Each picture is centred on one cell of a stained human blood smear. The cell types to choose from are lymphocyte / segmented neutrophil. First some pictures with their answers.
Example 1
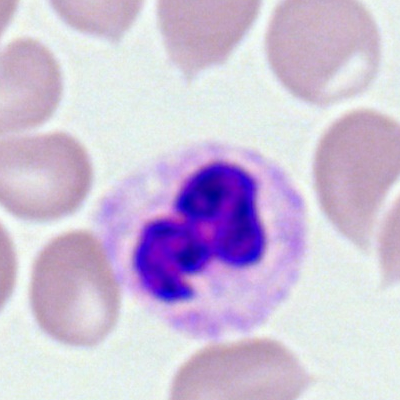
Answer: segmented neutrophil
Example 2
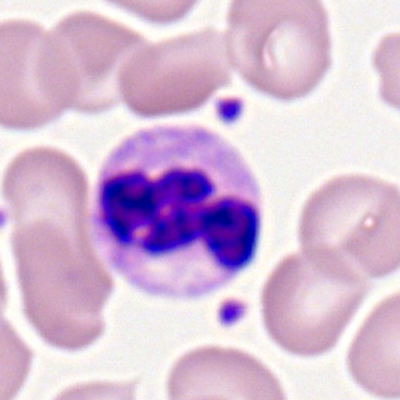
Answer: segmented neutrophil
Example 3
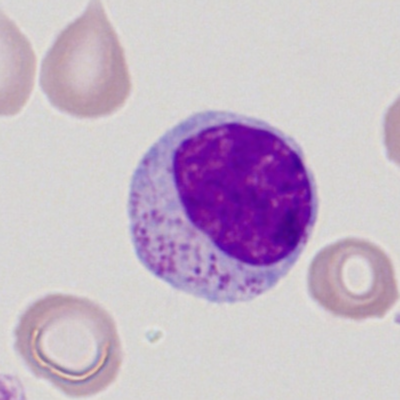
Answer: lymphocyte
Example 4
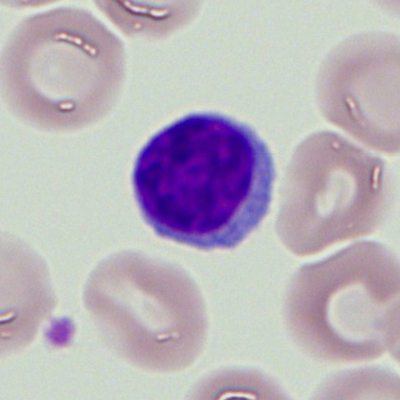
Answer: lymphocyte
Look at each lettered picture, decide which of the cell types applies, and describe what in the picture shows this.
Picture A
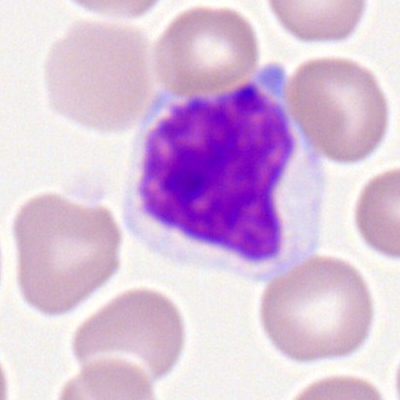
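lymphocyte. Evidence: The nucleus fills most of the cell.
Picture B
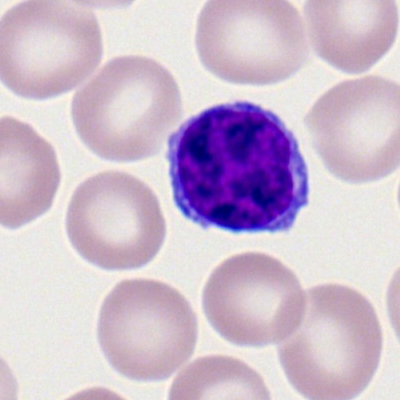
lymphocyte. Evidence: The cytoplasm forms only a thin rim around the nucleus.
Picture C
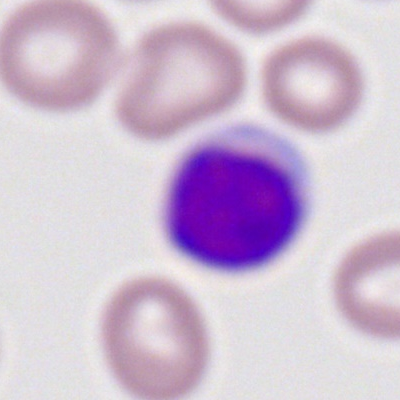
lymphocyte. Evidence: The cytoplasm forms only a thin rim, widest at the upper right of the cell.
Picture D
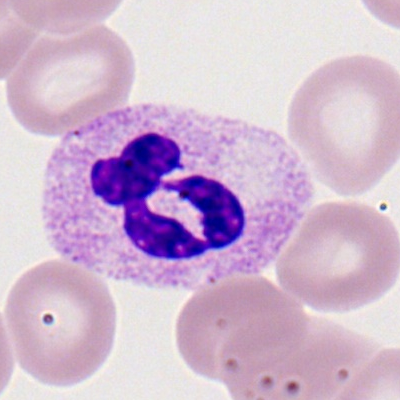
segmented neutrophil. Evidence: The cytoplasm is abundant and pale pinkish-lilac.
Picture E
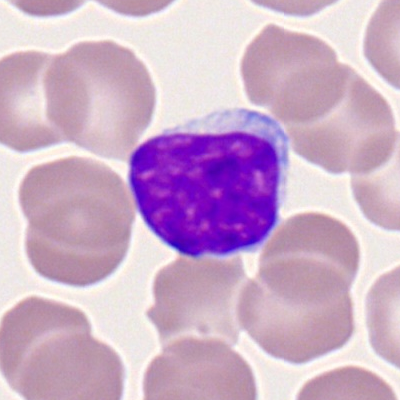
lymphocyte. Evidence: The nucleus fills most of the cell.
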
